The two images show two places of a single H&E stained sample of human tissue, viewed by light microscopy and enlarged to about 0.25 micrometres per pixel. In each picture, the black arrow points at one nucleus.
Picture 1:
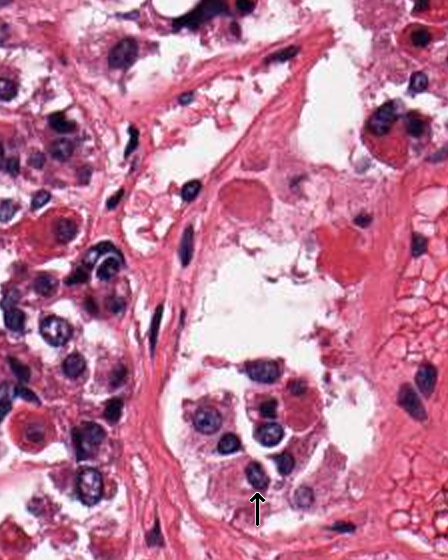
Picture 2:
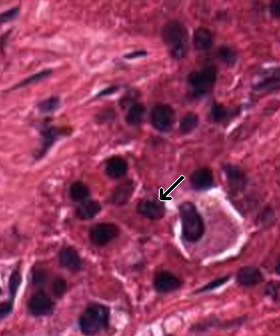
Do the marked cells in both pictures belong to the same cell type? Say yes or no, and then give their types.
Yes, both are anterior pituitary cells.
